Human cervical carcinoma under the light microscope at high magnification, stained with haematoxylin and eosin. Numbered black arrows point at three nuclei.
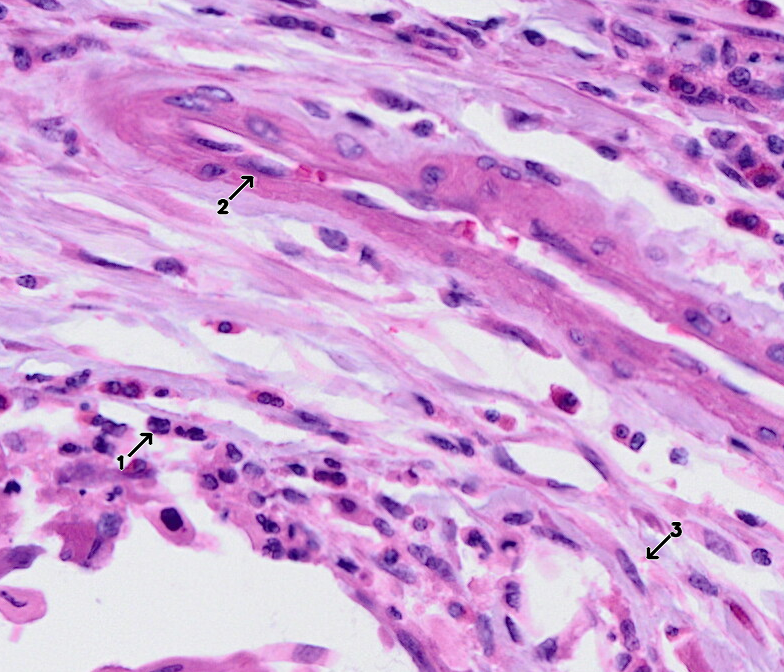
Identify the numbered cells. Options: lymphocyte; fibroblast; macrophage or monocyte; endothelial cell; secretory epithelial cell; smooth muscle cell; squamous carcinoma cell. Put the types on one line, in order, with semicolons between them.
lymphocyte; endothelial cell; fibroblast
